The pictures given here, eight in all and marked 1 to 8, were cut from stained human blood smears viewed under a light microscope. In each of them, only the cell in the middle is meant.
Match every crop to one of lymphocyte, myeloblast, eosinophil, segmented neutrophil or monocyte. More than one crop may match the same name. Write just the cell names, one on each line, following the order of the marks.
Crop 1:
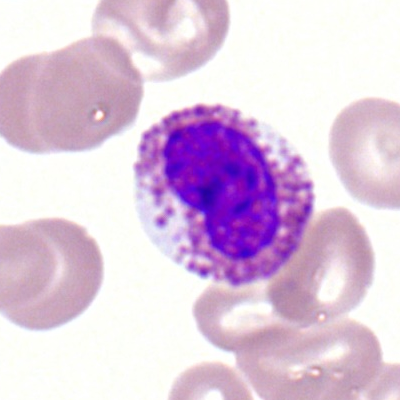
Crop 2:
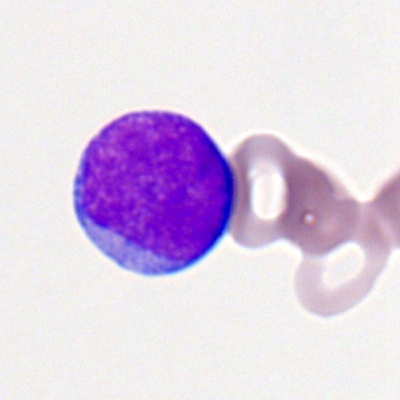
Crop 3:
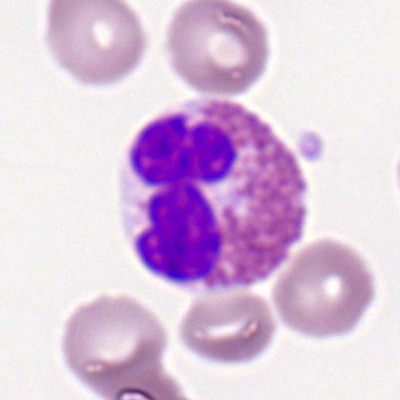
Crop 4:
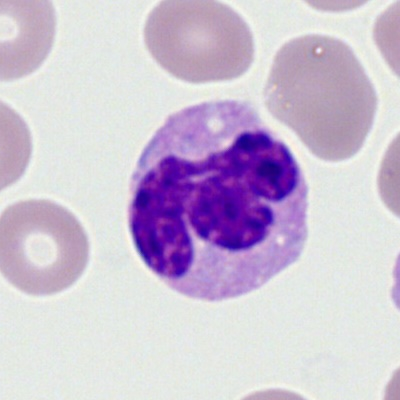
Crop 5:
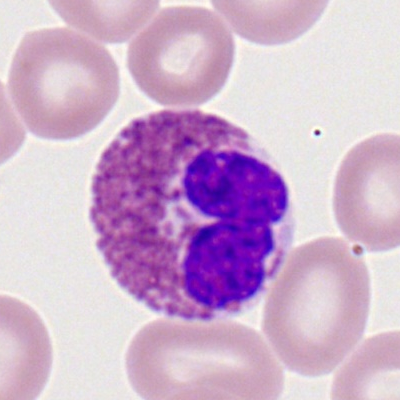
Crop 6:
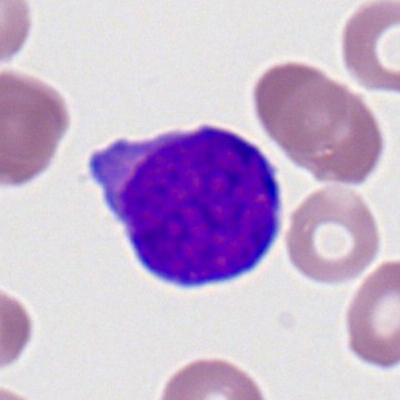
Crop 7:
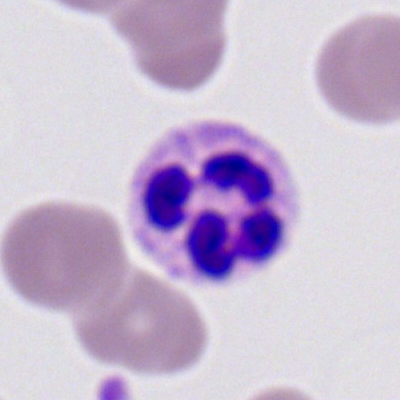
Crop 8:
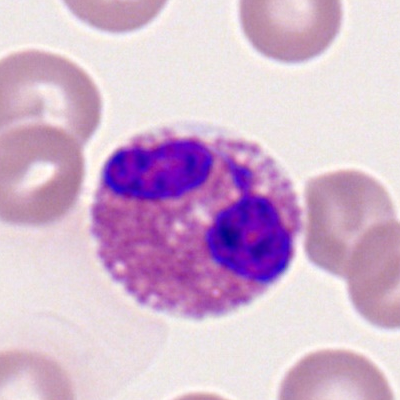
eosinophil
myeloblast
eosinophil
segmented neutrophil
eosinophil
myeloblast
segmented neutrophil
eosinophil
